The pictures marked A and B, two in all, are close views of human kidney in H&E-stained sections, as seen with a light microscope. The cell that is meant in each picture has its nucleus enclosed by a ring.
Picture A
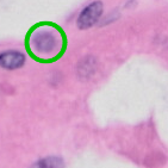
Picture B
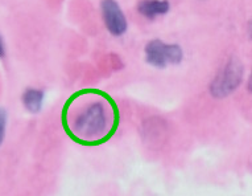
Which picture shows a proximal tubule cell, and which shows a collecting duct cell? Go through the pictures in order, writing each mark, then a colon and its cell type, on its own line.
A: collecting duct cell
B: proximal tubule cell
